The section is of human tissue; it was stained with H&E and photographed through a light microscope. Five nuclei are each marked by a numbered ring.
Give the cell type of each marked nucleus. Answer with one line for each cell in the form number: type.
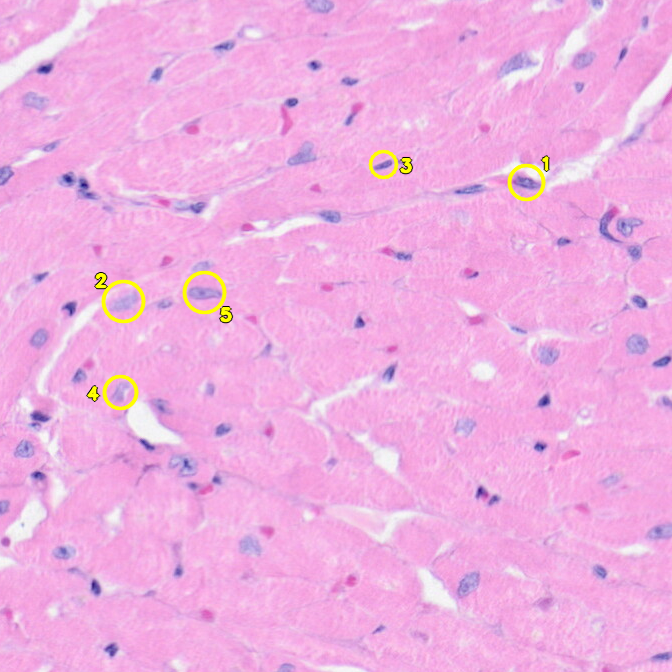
1: endothelial cell
2: cardiomyocyte
3: fibroblast
4: cardiomyocyte
5: cardiomyocyte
